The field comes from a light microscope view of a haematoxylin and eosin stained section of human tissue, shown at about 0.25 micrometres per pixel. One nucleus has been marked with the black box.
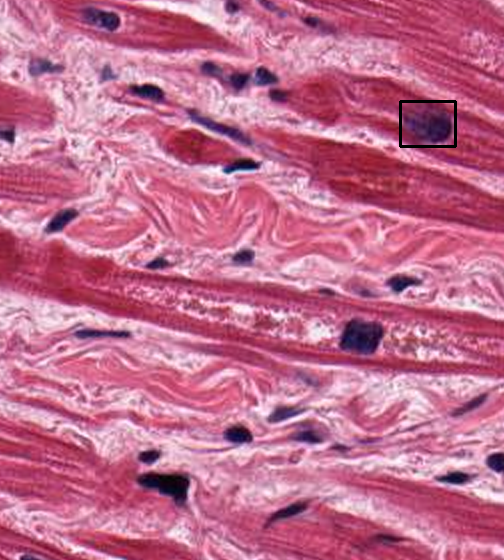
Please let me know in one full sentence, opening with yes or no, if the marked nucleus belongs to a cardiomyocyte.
Yes, the marked nucleus belongs to a cardiomyocyte in this field.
